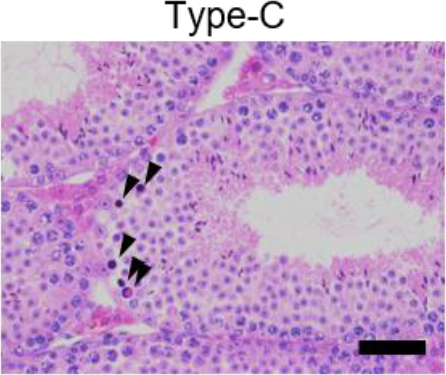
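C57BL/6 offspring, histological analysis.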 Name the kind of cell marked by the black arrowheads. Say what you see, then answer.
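Arrowheads point to small, dark, condensed nuclei. The marked cells lie near the outer edge of the tubule.
Hence: apoptotic cells.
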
